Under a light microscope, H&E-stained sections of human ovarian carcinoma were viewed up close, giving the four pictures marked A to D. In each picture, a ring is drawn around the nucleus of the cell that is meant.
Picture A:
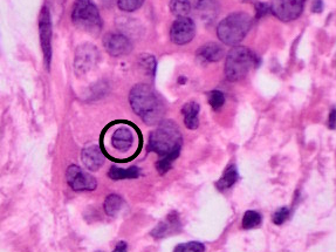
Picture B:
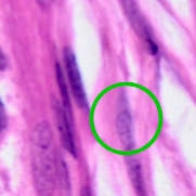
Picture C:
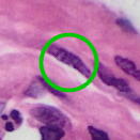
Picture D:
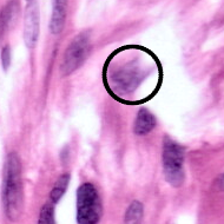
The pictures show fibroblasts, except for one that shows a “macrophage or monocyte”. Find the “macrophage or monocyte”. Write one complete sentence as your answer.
The “macrophage or monocyte” is the one in picture A.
